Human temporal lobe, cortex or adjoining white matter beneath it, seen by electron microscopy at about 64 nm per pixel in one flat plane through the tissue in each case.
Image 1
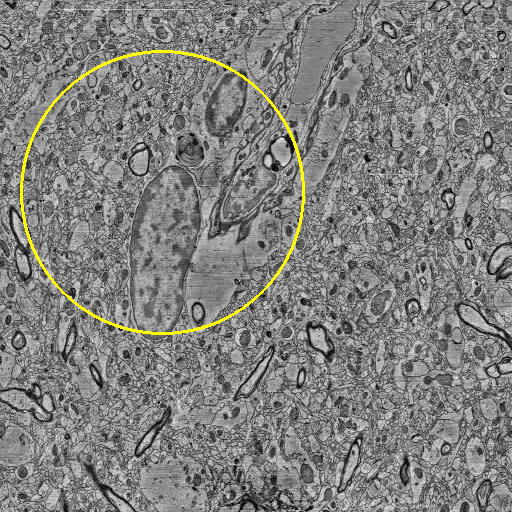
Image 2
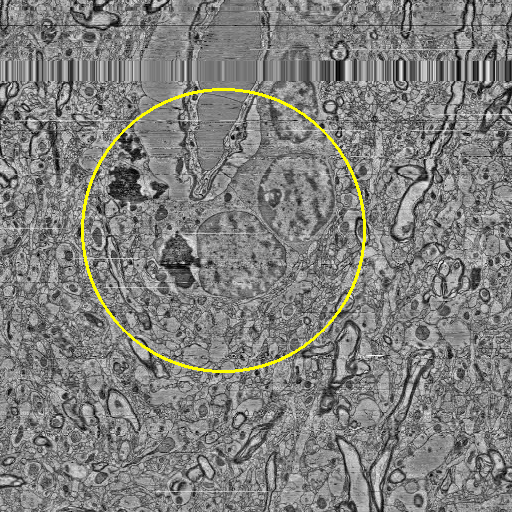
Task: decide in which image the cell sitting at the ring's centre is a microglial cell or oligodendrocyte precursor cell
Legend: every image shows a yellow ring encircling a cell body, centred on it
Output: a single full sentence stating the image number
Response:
In image 1, the cell at the middle of the ring is the match.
